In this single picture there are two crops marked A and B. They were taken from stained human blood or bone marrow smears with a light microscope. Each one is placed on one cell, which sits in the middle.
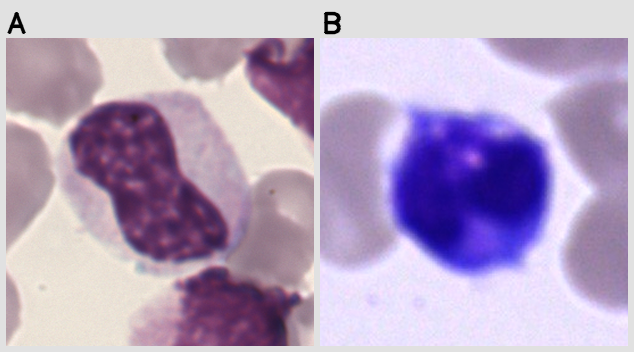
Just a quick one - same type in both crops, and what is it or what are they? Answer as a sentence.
No, the cell in crop A is a band neutrophil and the one in crop B is a monocyte.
